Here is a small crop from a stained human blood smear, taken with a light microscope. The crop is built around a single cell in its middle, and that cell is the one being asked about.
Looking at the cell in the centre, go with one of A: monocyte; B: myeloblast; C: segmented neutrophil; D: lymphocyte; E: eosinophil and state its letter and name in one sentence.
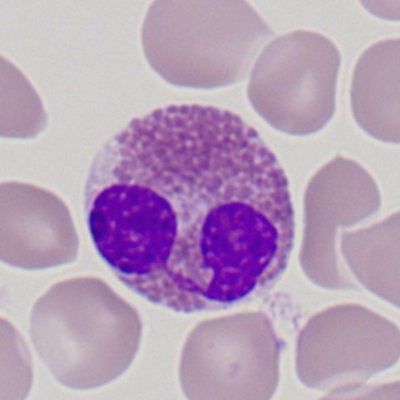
The cell in the middle is an eosinophil, and so option E is correct.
